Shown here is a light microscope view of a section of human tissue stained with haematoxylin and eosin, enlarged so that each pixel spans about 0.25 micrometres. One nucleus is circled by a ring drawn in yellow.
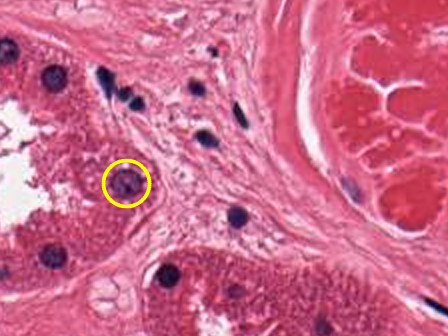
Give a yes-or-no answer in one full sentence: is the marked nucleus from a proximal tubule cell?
Yes, the nucleus singled out in the image belongs to a proximal tubule cell.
